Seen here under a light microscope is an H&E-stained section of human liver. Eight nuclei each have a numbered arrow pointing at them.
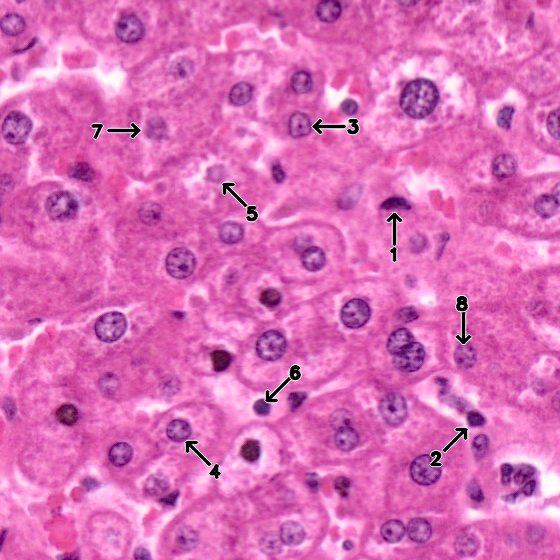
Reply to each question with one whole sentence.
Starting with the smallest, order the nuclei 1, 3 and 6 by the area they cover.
By area, going up from the smallest, they rank 6, 1, 3.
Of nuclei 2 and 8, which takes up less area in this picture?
With nucleus 8 about 1.5 times its size, nucleus 2 is the smaller of the two.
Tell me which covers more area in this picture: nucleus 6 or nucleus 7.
Of the two, number 7 is bigger and takes up about 1.5 times the area of number 6.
